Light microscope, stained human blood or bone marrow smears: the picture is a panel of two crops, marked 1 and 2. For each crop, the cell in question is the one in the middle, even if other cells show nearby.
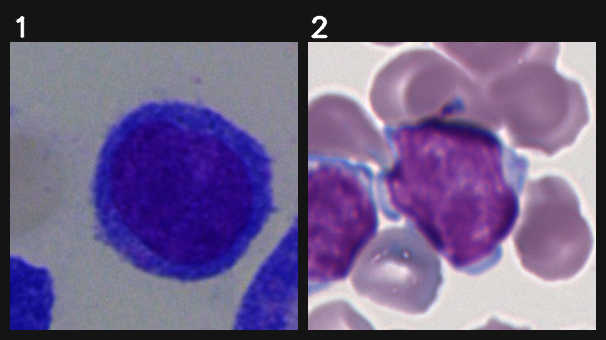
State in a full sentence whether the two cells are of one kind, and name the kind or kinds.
Yes, for both crops, the central cells are blasts.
